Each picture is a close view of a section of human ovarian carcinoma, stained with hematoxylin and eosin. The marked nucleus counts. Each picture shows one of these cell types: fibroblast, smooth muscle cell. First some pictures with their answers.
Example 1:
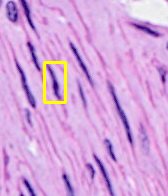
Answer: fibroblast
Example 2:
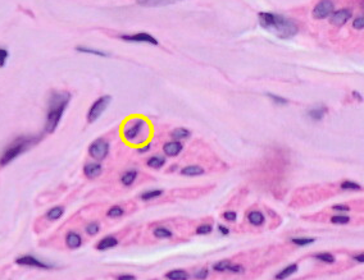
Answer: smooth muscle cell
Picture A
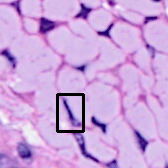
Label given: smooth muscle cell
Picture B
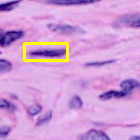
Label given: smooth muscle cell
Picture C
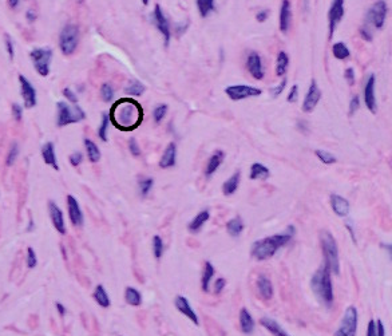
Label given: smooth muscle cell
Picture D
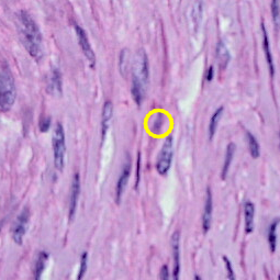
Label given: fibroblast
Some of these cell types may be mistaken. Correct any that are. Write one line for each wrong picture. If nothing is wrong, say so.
A: fibroblast, not smooth muscle cell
